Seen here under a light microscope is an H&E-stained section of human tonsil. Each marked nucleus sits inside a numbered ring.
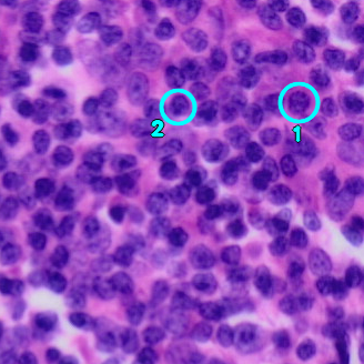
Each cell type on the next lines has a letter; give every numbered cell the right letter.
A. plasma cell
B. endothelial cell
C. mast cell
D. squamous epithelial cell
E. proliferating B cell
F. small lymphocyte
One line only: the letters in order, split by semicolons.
A; F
